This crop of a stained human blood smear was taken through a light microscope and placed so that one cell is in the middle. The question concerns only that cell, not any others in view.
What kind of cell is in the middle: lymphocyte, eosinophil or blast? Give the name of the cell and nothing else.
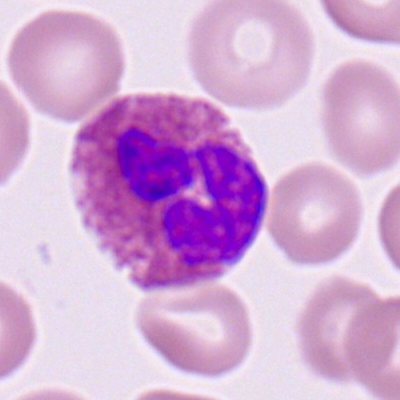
eosinophil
